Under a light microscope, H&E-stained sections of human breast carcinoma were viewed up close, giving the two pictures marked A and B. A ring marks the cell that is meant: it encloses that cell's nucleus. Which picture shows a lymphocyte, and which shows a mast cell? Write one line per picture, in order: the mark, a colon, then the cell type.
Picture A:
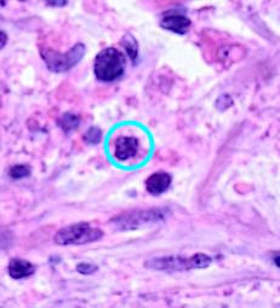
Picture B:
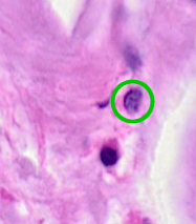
A: lymphocyte
B: mast cell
